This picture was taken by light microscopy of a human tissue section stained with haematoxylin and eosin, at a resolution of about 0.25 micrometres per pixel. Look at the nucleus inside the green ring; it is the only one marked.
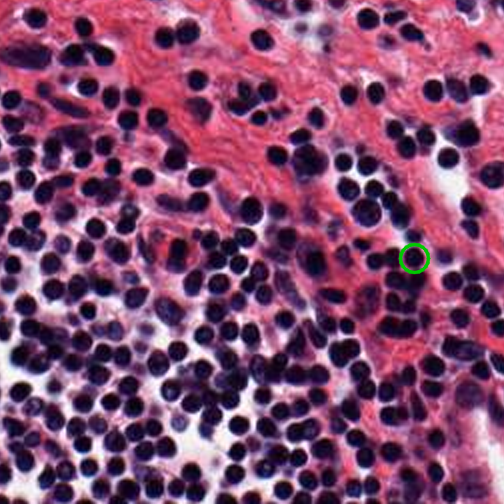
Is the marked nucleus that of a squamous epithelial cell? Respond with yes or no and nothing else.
no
